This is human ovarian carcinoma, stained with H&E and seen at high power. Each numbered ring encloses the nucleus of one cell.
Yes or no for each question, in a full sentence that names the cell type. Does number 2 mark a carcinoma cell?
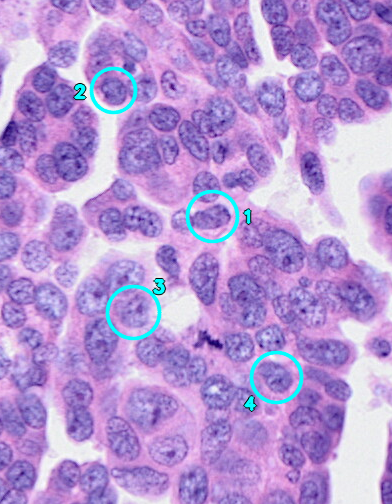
Yes, and to answer plainly, cell 2 is a carcinoma cell.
